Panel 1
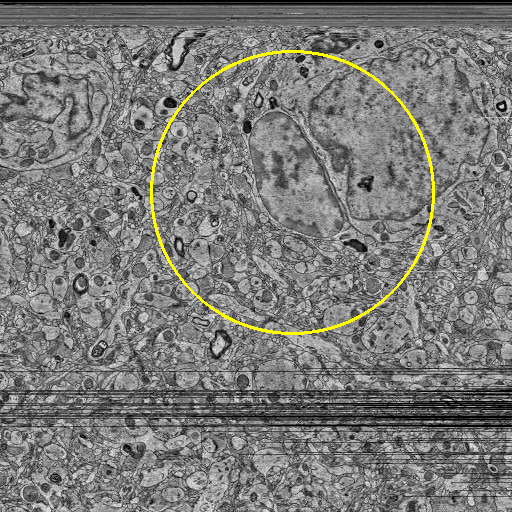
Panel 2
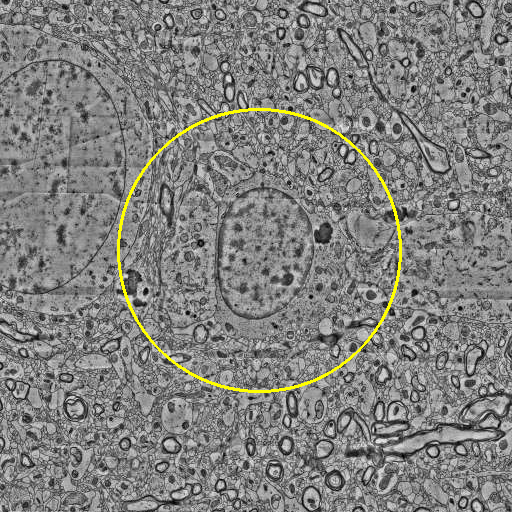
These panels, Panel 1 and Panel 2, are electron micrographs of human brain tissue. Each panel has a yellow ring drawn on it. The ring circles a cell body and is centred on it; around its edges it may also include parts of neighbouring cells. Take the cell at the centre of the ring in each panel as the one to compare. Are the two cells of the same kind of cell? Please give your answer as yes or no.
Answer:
no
